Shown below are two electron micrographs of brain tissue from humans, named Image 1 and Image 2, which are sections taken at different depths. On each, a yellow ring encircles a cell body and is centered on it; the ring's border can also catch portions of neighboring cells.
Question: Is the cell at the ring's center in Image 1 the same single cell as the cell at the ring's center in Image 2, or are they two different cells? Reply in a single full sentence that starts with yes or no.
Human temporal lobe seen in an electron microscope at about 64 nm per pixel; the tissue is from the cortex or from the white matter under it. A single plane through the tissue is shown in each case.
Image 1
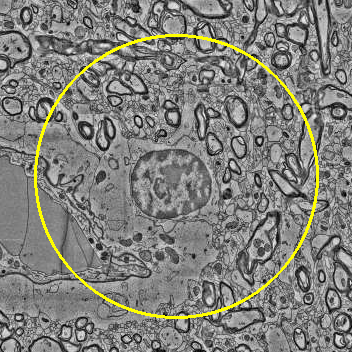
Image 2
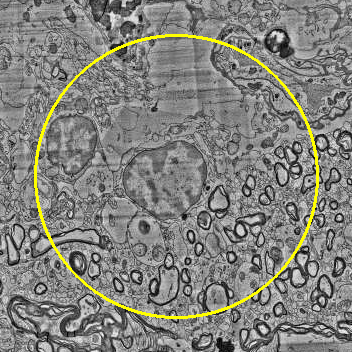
No, the two rings in this image mark separate cells.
